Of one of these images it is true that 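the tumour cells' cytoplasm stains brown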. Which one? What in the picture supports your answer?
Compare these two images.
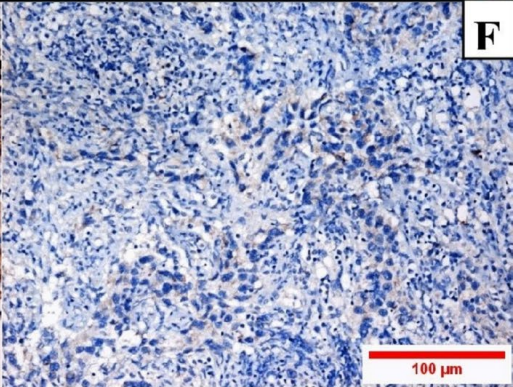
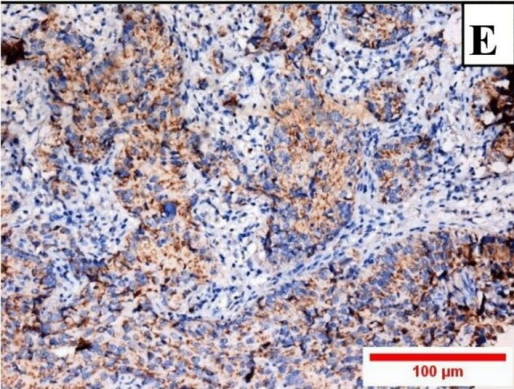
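Second image: nests of tumour cells show patchy light-brown cytoplasm against blue stroma.
Hence: the second image.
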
